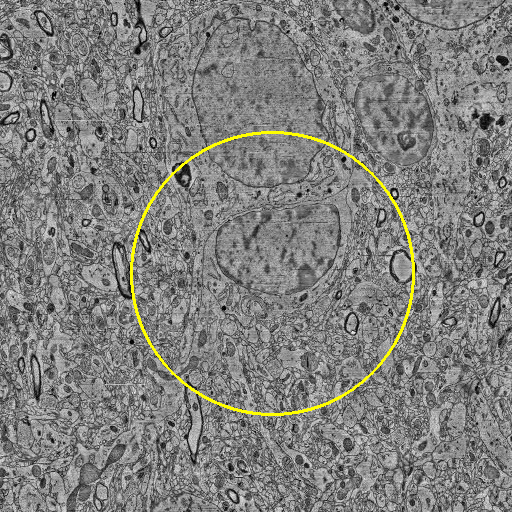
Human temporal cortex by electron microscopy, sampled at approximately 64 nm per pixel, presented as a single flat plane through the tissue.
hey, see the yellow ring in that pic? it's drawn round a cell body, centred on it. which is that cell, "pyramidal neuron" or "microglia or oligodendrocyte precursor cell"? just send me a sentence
The cell in the ring is a microglial cell or oligodendrocyte precursor cell.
